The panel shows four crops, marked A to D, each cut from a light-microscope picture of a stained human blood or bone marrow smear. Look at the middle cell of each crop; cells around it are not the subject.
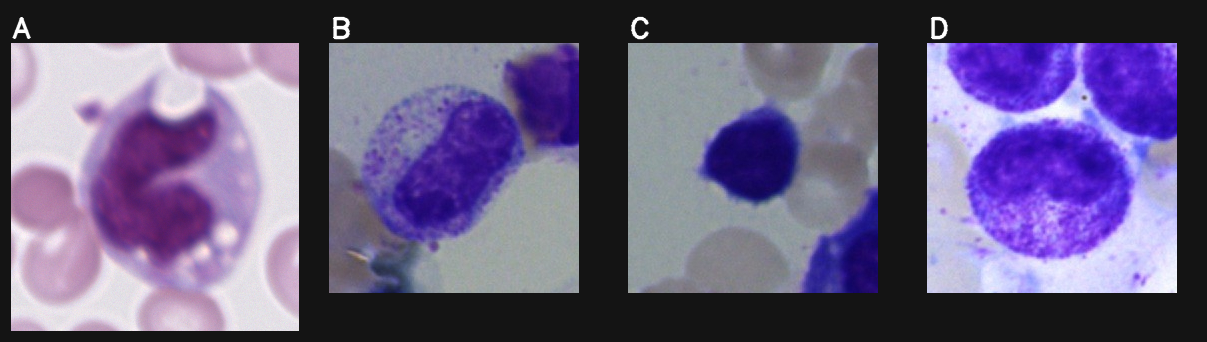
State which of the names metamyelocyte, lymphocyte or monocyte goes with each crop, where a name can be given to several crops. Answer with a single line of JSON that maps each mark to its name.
{"A": "monocyte", "B": "metamyelocyte", "C": "lymphocyte", "D": "metamyelocyte"}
